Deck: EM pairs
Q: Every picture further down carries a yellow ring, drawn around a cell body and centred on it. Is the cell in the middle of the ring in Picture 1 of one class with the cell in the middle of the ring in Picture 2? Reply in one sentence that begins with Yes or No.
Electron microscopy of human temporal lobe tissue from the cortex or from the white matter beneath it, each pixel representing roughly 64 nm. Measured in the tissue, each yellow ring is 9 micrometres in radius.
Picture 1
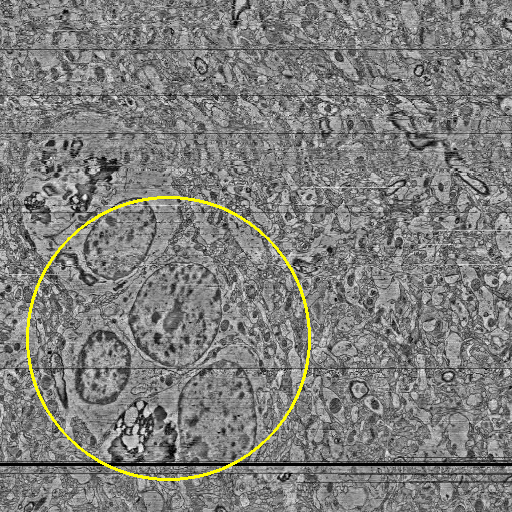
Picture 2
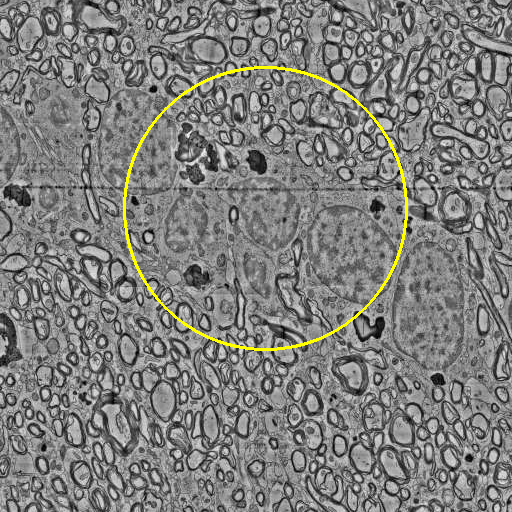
No, the cell centred in the ring of Picture 1 and the one in Picture 2 belong to separate classes.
